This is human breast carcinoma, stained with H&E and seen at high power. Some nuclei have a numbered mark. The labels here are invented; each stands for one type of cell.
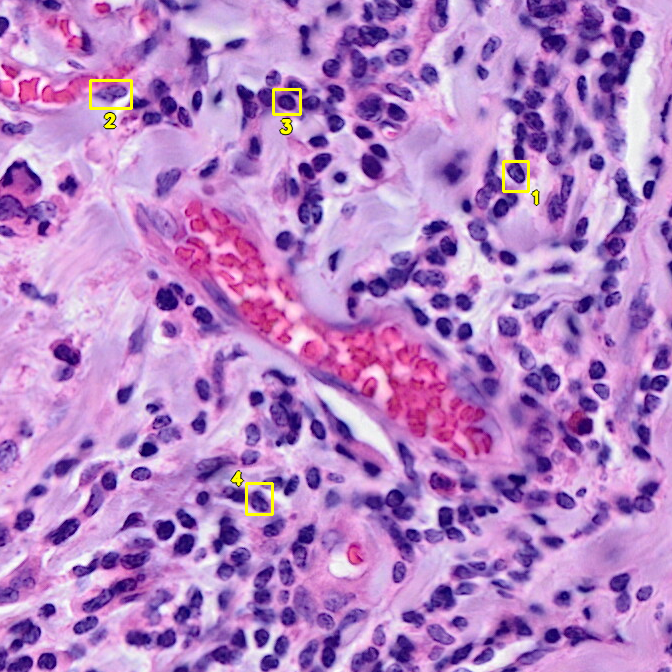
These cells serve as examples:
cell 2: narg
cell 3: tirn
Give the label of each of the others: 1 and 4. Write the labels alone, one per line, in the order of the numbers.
tirn
tirn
